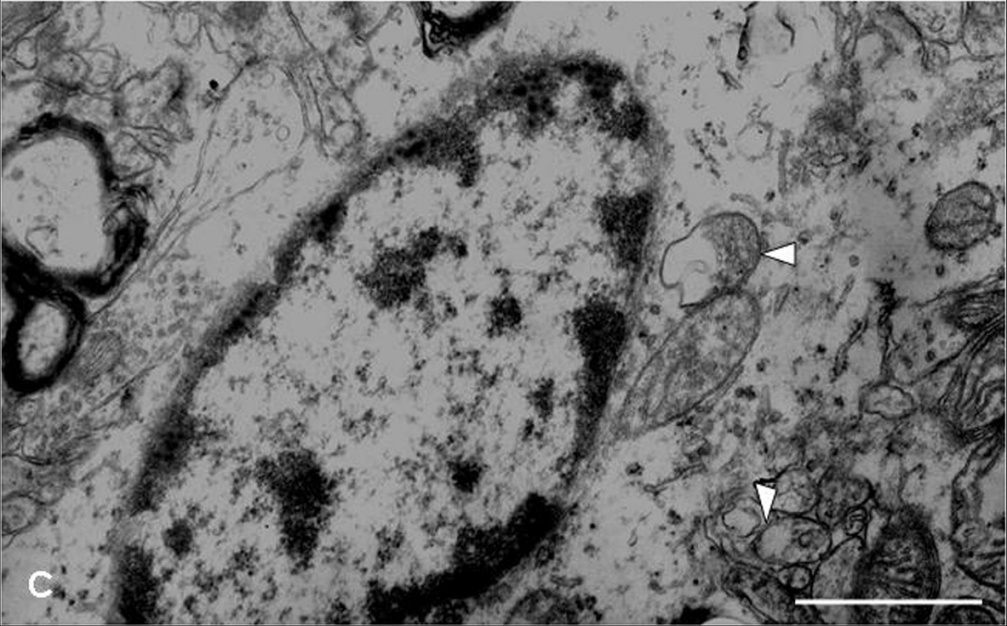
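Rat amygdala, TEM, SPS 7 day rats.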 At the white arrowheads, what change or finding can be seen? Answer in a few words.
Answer: Swelling, vacuolation and loss of crest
